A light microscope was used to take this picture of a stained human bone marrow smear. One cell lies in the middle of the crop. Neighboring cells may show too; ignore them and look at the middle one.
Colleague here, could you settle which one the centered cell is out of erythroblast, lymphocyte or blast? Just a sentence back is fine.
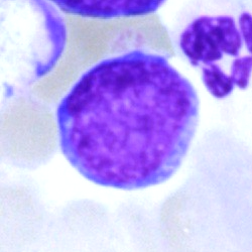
The cell around which this crop is centred is a blast.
